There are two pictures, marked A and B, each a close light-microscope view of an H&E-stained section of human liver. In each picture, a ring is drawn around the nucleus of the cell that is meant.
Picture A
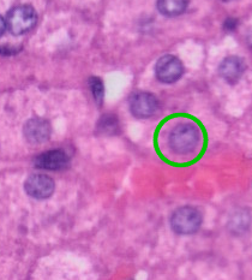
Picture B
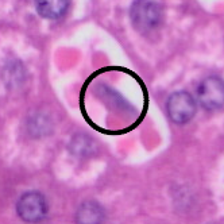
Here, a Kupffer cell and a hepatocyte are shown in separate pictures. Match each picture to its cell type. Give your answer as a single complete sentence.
Picture A is of a hepatocyte, and picture B is of a Kupffer cell.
